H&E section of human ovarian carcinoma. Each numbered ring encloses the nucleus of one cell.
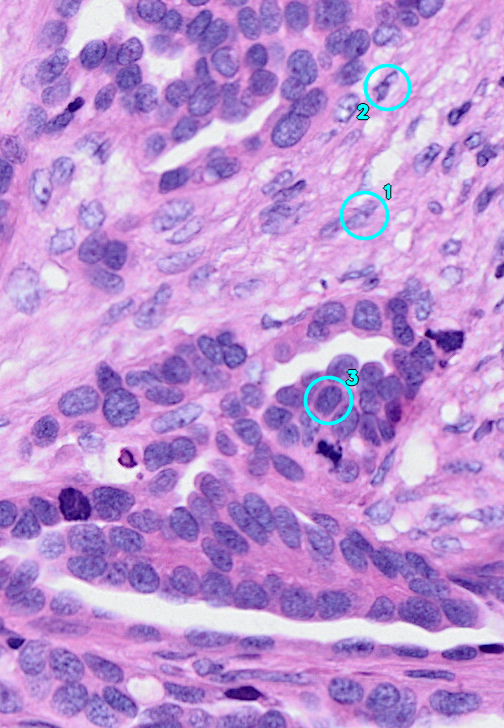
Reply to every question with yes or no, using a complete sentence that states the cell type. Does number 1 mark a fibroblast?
Yes, the cell to which number 1 refers is a fibroblast.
